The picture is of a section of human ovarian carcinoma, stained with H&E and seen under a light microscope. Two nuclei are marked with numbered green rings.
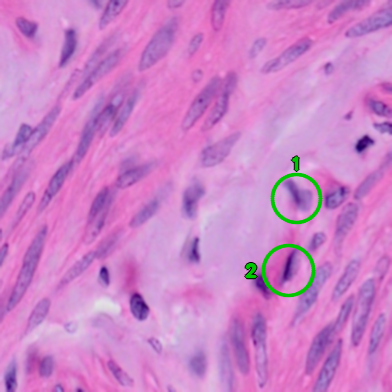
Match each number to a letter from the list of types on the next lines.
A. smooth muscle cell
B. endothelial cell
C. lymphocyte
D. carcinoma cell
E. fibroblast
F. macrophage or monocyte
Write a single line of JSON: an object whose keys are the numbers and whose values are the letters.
{"1": "E", "2": "A"}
